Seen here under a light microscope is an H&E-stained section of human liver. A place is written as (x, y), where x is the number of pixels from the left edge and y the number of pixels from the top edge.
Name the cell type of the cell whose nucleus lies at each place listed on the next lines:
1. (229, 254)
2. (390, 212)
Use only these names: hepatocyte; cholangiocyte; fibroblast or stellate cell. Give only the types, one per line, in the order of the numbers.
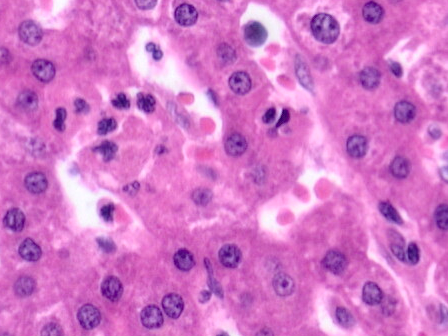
hepatocyte
fibroblast or stellate cell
